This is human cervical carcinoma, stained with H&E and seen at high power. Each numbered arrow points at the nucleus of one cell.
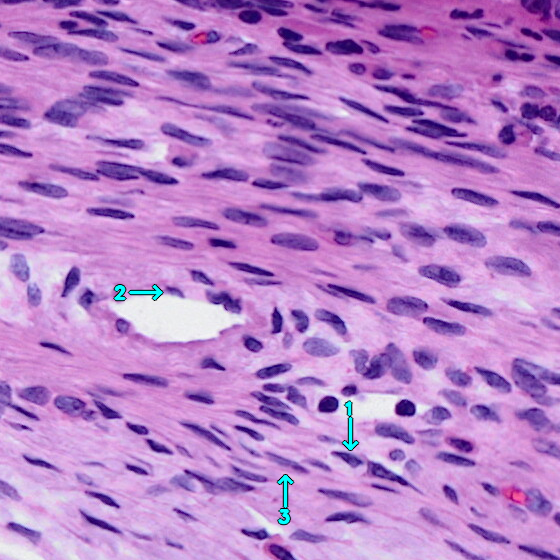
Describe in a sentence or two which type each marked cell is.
Cells 1 and 3 are fibroblasts. Cell 2 is an endothelial cell.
